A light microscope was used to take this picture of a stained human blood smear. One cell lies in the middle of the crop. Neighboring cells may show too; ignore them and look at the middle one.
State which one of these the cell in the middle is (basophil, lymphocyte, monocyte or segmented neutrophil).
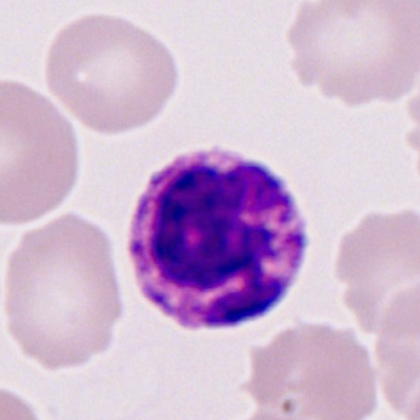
basophil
